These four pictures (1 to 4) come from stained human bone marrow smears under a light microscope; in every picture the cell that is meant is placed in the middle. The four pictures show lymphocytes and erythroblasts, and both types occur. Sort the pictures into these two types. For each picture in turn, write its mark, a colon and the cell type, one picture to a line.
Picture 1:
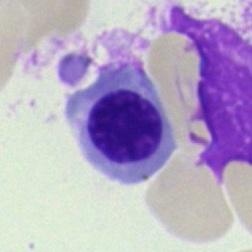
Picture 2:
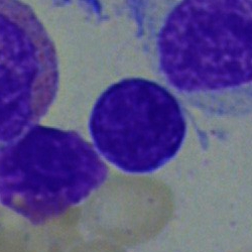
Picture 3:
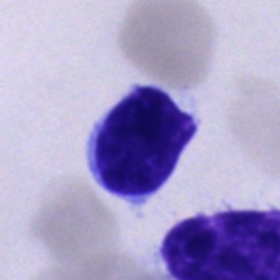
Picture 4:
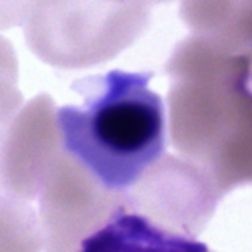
1: erythroblast
2: lymphocyte
3: lymphocyte
4: erythroblast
